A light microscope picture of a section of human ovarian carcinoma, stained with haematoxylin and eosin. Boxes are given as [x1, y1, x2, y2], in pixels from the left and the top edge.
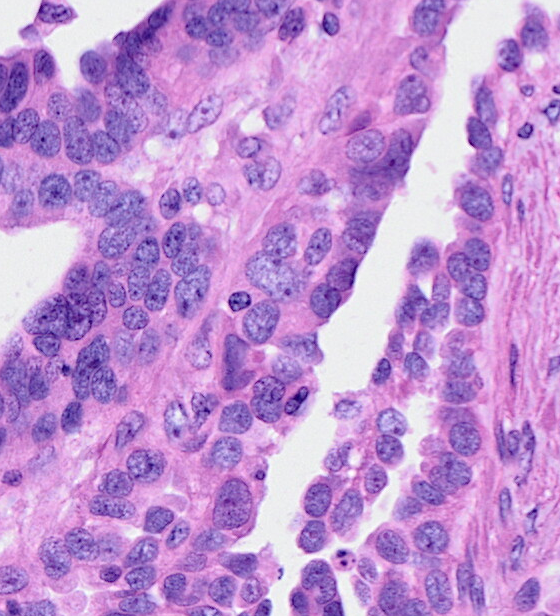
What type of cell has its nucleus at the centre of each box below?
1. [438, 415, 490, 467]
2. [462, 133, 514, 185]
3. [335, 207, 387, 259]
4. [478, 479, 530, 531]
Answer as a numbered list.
1. carcinoma cell
2. carcinoma cell
3. carcinoma cell
4. fibroblast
